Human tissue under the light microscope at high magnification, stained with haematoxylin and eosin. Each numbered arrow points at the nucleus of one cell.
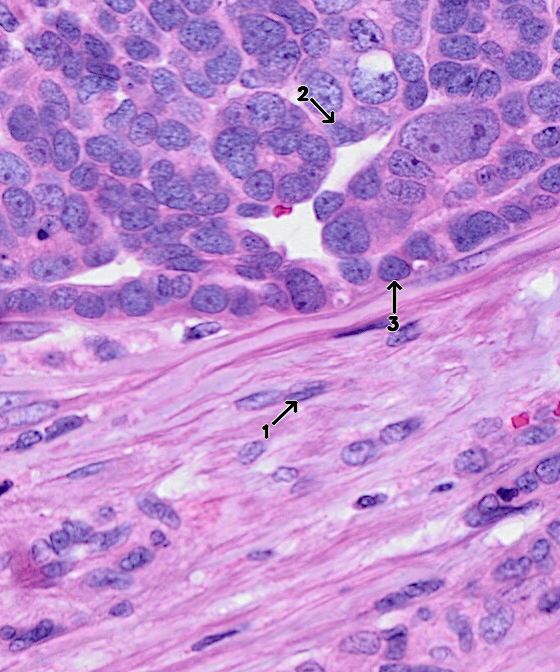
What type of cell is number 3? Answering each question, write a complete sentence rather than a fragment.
The cell to which the number 3 is assigned is a carcinoma cell.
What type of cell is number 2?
The nucleus marked 2 is the nucleus of a carcinoma cell.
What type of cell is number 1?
Denoted by the label 1 in the section is a fibroblast.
